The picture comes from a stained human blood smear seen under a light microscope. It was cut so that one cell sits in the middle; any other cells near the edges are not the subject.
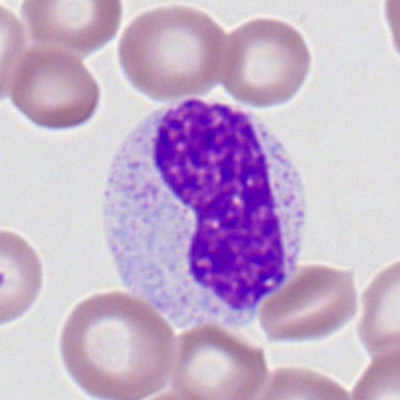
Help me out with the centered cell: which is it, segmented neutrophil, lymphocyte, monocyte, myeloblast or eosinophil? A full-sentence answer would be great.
In the central position of this crop, the cell is a monocyte.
